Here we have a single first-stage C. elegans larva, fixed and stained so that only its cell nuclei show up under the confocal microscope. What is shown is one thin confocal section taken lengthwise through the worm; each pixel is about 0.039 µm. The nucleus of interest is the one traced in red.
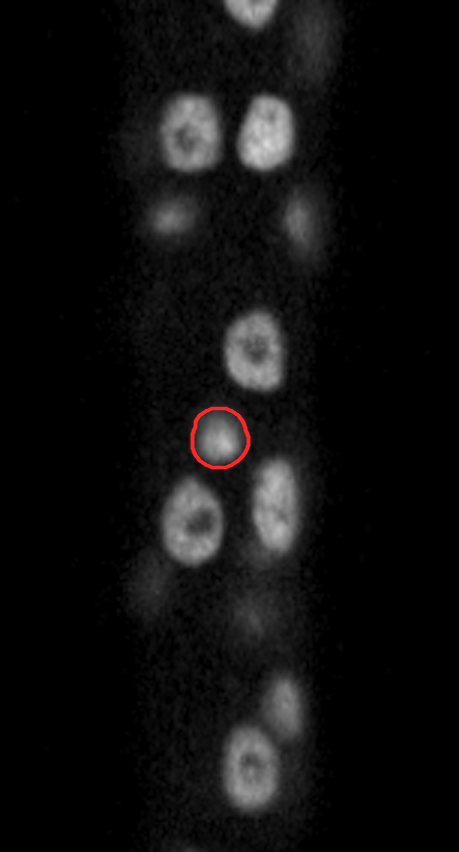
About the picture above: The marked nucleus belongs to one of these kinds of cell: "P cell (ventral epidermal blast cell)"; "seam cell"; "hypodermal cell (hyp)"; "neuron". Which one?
neuron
